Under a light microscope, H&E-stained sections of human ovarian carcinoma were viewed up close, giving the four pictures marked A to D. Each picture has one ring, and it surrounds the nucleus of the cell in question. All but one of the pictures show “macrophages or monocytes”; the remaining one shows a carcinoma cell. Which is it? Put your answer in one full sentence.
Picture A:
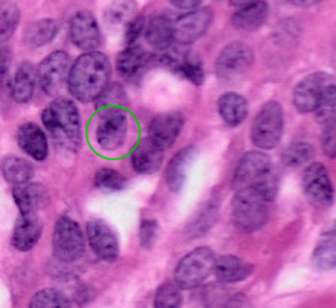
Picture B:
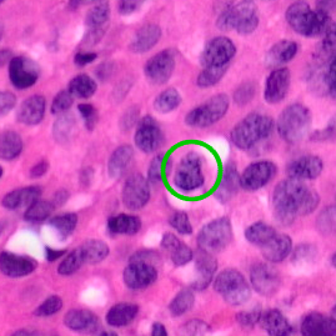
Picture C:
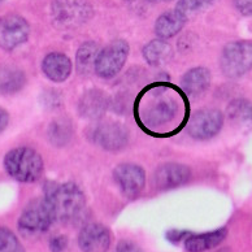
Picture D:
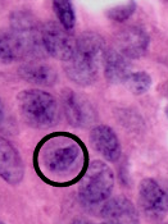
The carcinoma cell is the one in picture C.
